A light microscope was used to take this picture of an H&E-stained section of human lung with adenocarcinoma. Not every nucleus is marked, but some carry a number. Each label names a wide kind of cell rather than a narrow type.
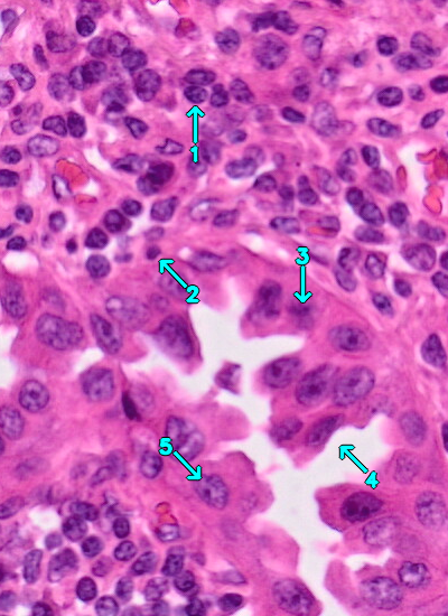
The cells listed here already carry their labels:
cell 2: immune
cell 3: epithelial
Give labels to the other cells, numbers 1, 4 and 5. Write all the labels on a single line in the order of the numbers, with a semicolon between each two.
immune; epithelial; epithelial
